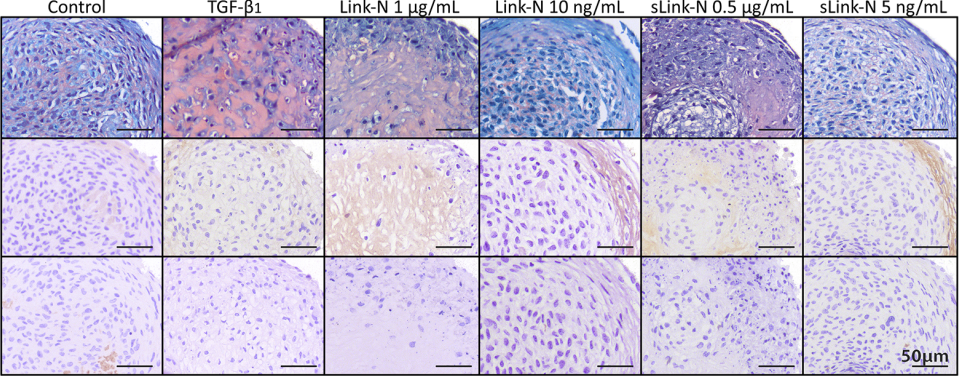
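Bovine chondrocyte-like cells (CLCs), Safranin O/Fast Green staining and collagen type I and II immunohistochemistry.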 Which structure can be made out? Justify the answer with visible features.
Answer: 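Micro-aggregates. Several images show a curved, rounded outer edge of the cell mass.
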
